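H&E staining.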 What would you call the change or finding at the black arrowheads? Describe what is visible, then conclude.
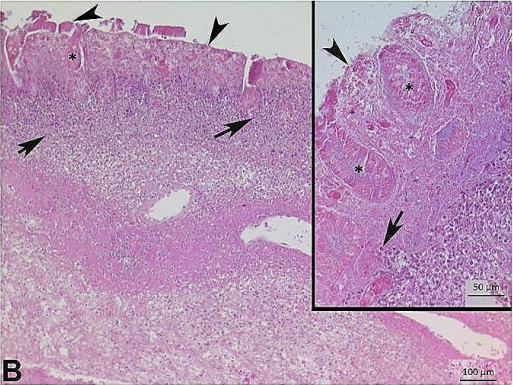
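Epithelial desquamation. The surface lining is lifting off and fragmented at the top of the mucosa. No continuous intact surface epithelium is seen.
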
